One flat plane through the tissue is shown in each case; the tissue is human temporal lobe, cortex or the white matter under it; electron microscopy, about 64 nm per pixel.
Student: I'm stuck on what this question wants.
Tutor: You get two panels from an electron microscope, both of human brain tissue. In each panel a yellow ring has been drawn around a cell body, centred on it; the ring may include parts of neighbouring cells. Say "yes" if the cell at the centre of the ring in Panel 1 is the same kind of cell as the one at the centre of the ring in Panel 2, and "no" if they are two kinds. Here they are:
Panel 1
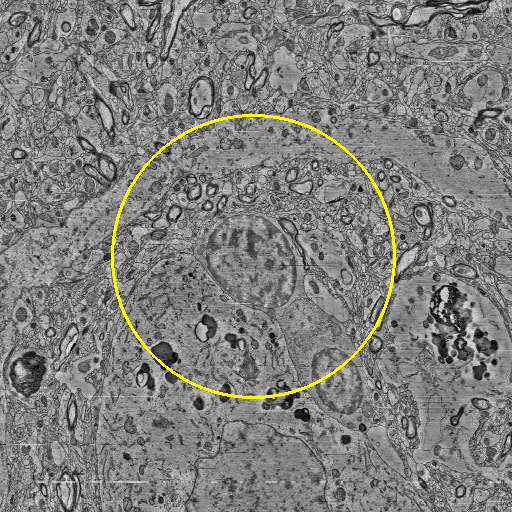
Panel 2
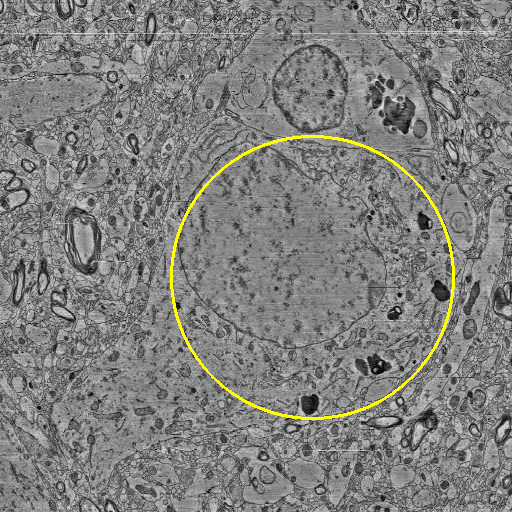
no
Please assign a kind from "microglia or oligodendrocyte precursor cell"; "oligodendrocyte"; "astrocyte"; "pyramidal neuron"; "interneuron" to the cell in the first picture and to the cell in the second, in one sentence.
In the first picture we have an oligodendrocyte, and in the second, a pyramidal neuron.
